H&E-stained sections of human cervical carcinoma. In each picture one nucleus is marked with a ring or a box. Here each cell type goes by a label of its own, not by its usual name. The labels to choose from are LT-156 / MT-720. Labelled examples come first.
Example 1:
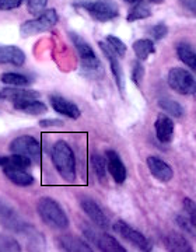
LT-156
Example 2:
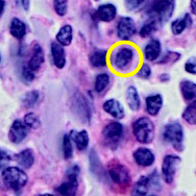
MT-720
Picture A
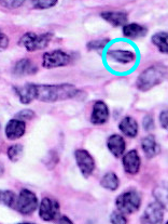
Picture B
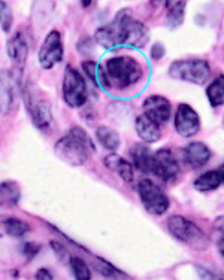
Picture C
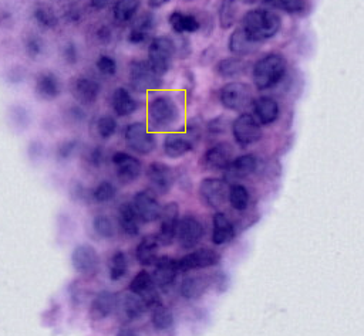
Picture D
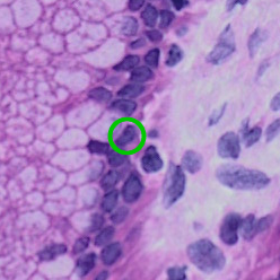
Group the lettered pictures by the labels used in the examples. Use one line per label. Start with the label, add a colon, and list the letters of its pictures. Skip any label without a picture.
LT-156: C, D
MT-720: A, B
